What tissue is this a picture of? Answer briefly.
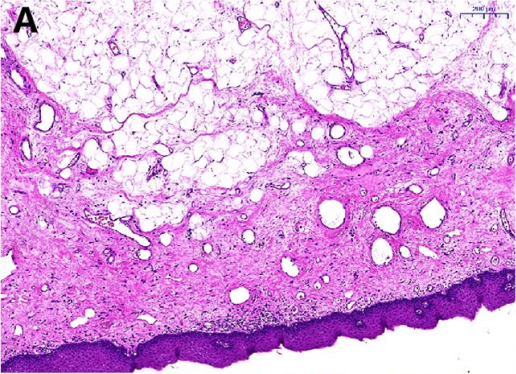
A: Squamous mucosa.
